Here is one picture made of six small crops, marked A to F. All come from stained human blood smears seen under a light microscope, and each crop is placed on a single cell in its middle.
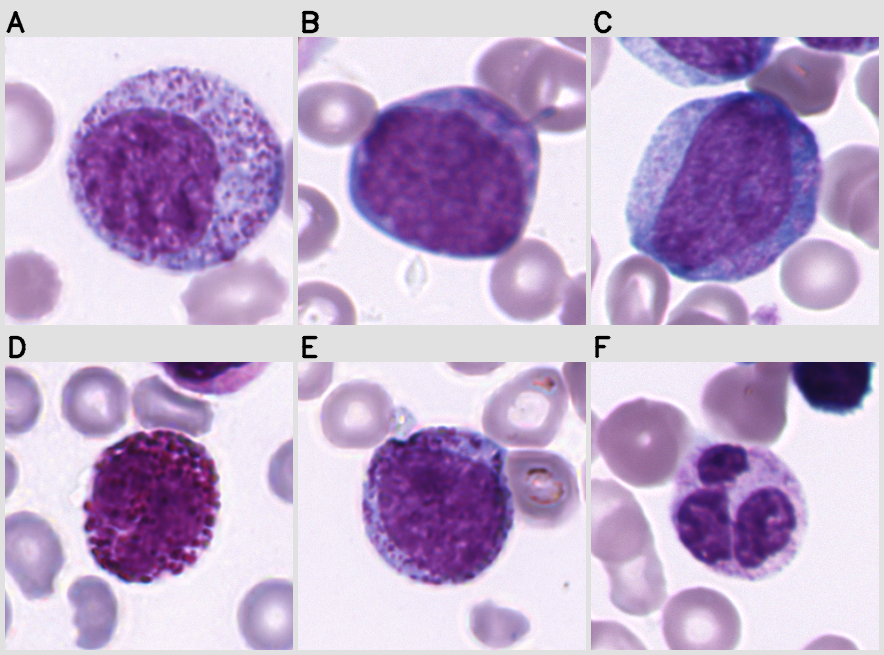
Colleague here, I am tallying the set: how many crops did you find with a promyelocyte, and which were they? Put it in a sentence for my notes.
Of the crops presented, A, B, C and E show promyelocytes, a total of four.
